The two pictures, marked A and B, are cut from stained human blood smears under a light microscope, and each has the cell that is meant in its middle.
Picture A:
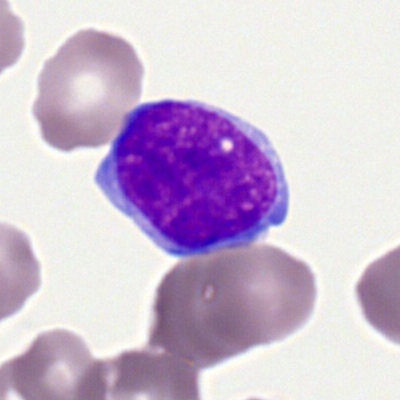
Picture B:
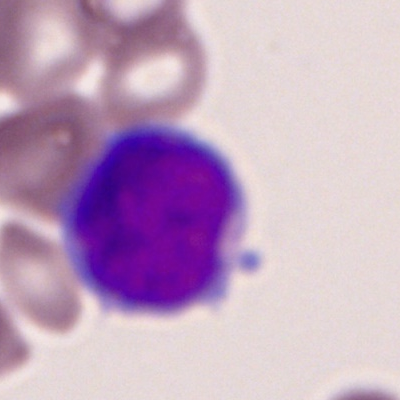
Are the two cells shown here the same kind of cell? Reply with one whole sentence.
Yes, they are the same type: both are myeloblasts.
